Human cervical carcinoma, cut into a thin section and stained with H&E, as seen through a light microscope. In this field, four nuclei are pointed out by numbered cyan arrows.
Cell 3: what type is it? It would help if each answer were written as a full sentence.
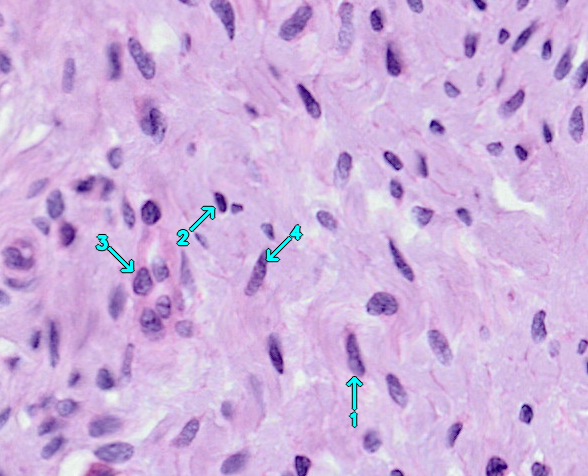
The cell indicated with the number 3 is classed as an endothelial cell.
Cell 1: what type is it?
The nucleus labelled 1 belongs to a fibroblast.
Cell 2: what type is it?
In this section, the cell numbered 2 is a fibroblast.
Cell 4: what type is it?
Cell 4 of the marked set is a fibroblast.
